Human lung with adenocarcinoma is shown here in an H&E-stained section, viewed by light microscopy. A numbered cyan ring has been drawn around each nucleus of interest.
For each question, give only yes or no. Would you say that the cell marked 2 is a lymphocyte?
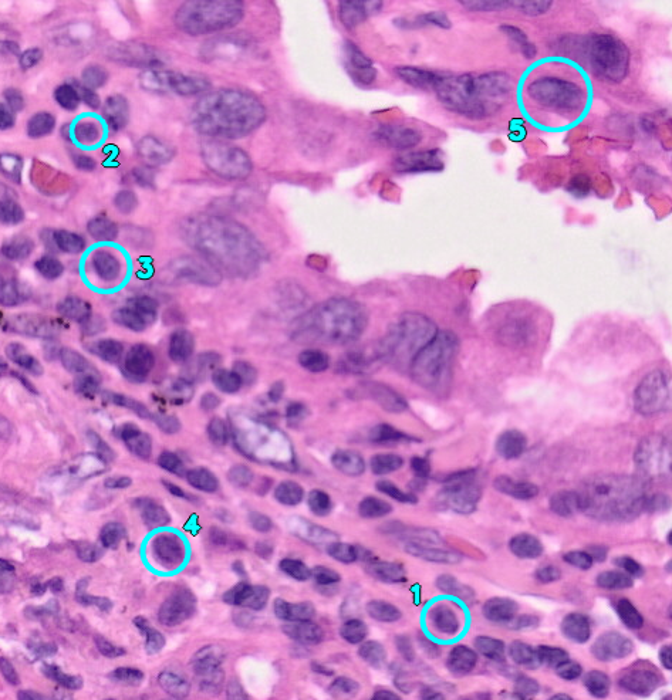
yes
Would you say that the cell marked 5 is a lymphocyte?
no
